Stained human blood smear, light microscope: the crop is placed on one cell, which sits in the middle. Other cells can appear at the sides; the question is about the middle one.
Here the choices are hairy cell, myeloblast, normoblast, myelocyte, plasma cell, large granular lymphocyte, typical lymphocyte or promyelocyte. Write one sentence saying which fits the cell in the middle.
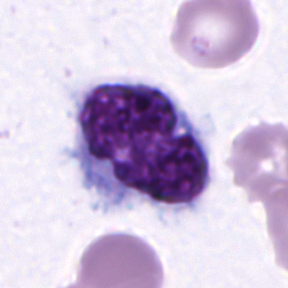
Standing at the centre of this crop is a plasma cell.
